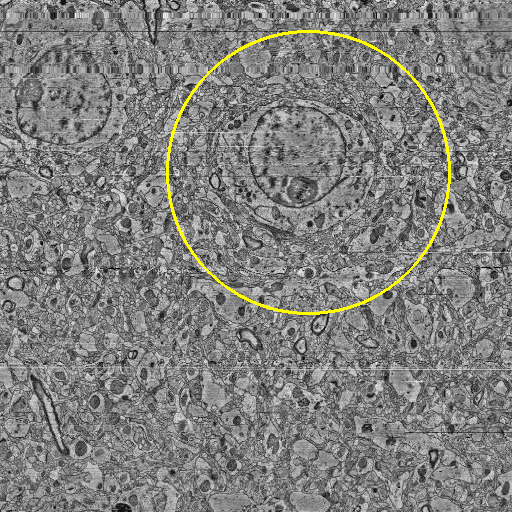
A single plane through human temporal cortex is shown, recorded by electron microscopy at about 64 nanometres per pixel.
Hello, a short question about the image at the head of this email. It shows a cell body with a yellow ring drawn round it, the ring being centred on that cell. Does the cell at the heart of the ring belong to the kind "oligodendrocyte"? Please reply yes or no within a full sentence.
No, the cell at the heart of the ring in that image is of a different kind.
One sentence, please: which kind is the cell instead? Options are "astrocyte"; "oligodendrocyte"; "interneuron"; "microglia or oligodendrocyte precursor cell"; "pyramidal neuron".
The cell enclosed by the ring is a pyramidal neuron.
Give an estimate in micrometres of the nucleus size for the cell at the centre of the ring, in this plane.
The ringed cell's nucleus is about 7 micrometres across in this plane.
